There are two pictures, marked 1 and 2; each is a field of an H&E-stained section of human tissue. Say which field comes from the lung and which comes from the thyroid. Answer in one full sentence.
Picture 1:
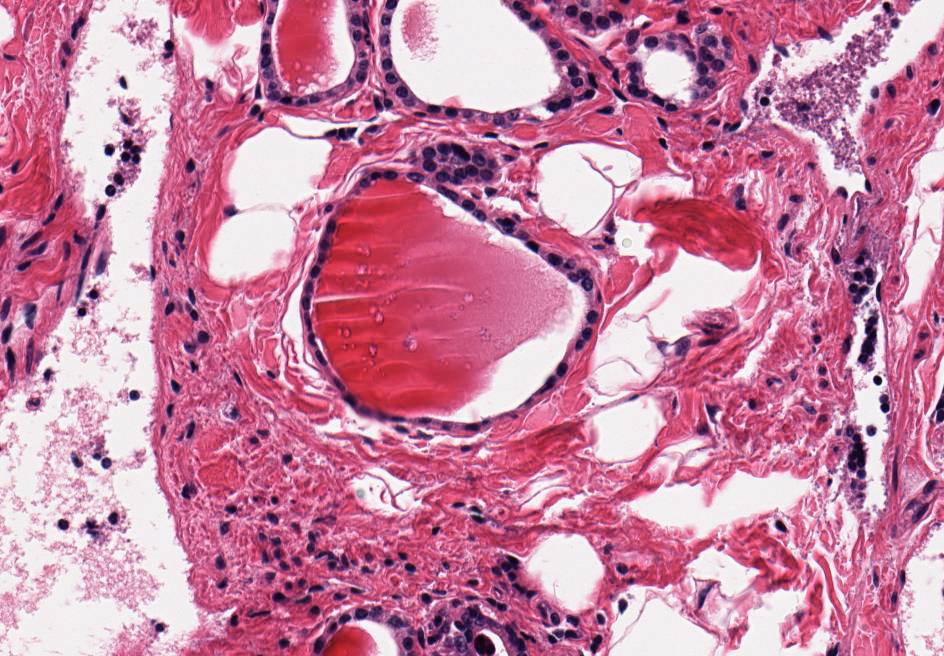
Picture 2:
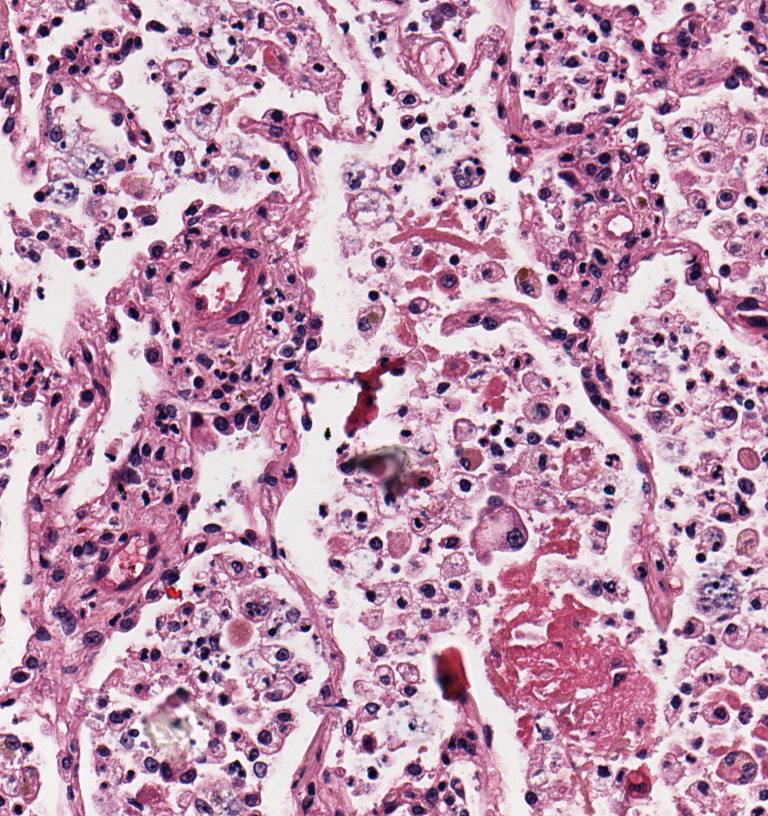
Picture 2 comes from the lung, while picture 1 comes from the thyroid.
